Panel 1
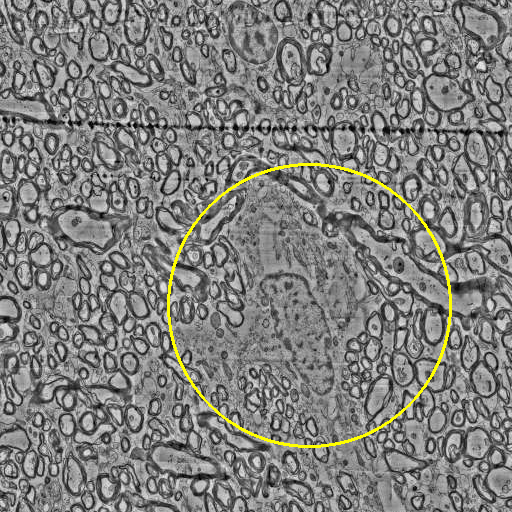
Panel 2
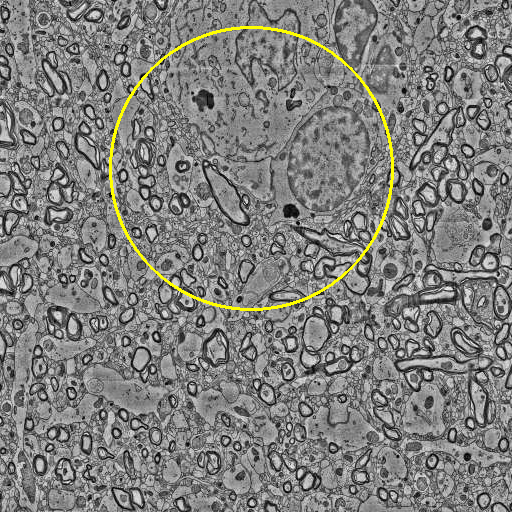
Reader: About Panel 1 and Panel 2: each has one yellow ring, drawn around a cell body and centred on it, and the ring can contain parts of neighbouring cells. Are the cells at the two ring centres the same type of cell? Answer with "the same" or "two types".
two types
